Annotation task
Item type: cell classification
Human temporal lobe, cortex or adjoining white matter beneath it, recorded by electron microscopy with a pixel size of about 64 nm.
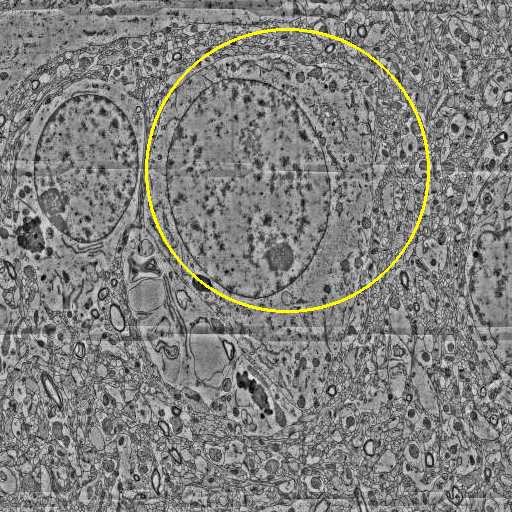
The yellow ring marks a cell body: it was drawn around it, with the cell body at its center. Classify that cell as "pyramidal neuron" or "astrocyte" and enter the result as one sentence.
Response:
The ring's center falls on a pyramidal neuron.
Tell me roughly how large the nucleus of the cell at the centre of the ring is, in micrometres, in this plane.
In this plane the nucleus spans approximately 14 by 11 micrometers.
